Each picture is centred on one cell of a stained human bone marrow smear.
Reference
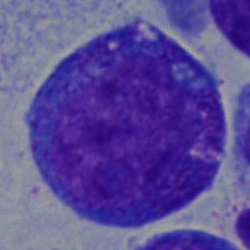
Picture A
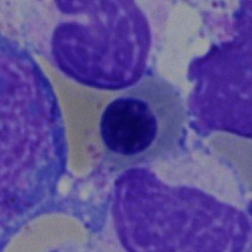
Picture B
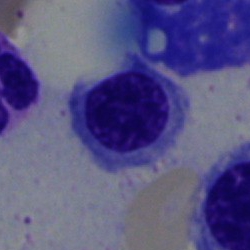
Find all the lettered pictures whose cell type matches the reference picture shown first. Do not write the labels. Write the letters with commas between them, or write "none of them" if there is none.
none of them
